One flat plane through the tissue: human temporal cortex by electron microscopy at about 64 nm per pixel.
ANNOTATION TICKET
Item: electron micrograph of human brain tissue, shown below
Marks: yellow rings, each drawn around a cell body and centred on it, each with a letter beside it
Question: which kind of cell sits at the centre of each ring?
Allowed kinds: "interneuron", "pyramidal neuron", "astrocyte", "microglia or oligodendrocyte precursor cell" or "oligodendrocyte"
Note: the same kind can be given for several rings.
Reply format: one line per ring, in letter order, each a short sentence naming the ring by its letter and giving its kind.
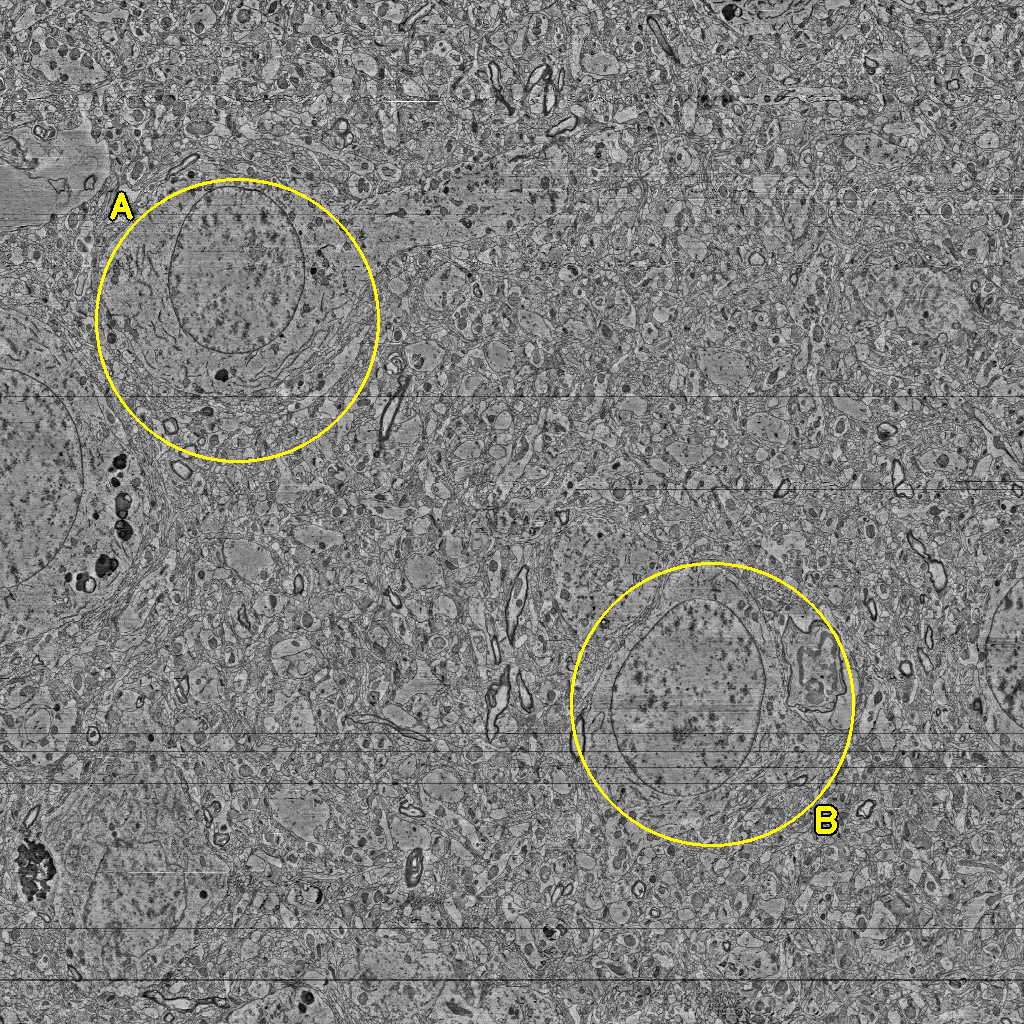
The cell at the centre of ring A is a pyramidal neuron.
The cell at the centre of ring B is a pyramidal neuron.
